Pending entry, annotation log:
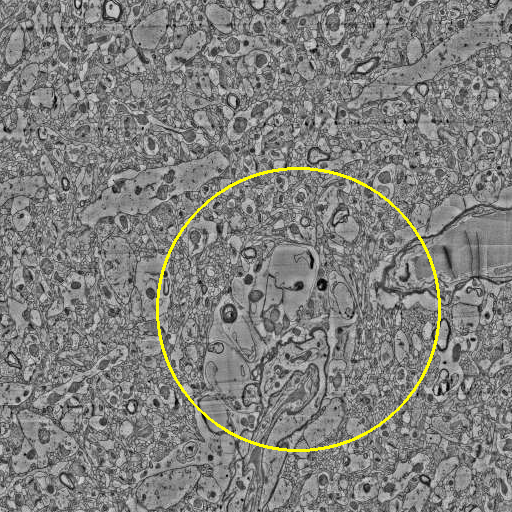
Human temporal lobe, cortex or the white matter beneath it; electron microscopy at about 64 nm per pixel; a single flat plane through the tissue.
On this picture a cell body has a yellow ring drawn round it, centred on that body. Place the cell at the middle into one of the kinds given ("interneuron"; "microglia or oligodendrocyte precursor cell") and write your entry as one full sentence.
The cell body at the middle of the yellow ring belongs to a microglial cell or oligodendrocyte precursor cell.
